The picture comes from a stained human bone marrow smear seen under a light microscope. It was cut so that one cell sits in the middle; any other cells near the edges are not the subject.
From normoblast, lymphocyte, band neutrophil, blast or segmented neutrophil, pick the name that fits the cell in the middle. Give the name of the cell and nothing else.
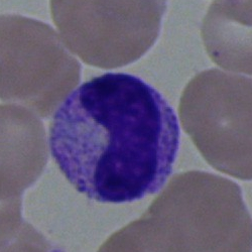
band neutrophil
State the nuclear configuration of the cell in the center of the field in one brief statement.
See how the nucleus sits as one compact round, oval or kidney-shaped mass.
